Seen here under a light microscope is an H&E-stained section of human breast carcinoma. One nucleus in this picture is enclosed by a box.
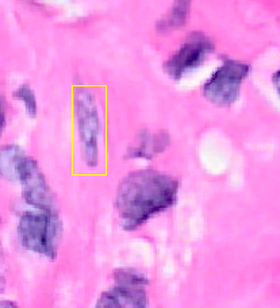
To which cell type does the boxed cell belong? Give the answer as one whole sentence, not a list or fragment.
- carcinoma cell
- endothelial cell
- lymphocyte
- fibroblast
In the stained section, the boxed cell is an endothelial cell.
